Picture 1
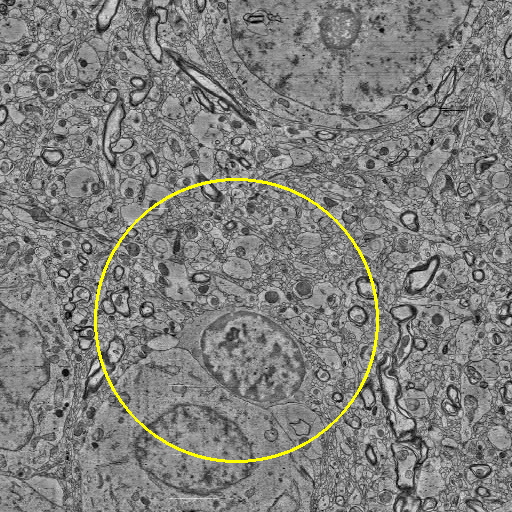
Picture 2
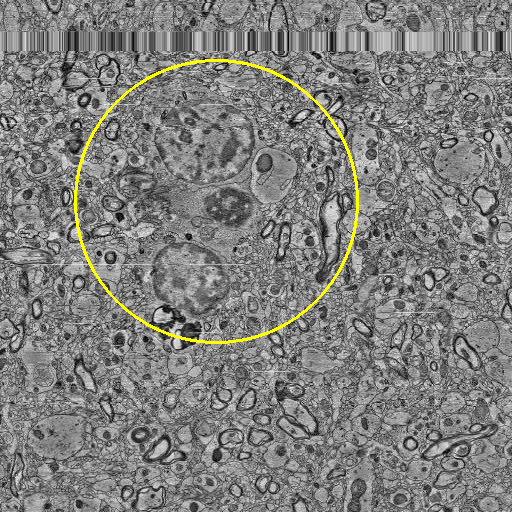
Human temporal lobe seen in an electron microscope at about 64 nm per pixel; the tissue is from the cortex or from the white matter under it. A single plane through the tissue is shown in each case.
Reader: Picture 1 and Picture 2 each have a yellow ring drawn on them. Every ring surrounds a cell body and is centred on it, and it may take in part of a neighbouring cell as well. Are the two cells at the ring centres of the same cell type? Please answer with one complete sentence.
Yes, both cells are of the same cell type.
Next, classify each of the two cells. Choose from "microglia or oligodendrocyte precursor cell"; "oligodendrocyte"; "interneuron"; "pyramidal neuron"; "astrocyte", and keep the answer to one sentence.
The ring centre holds an oligodendrocyte in each of the two pictures.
